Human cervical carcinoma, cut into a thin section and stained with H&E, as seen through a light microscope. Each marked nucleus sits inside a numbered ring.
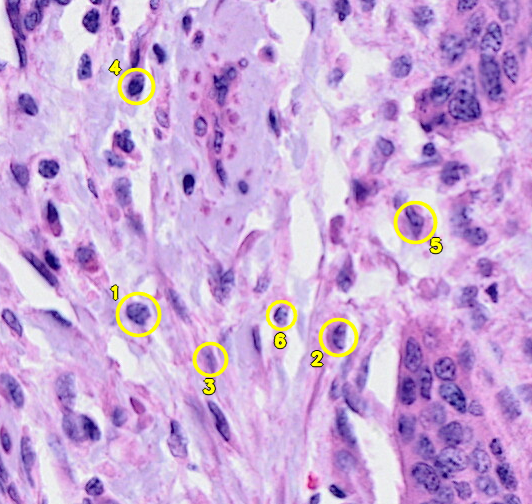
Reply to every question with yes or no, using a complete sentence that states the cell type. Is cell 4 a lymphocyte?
Yes, looking at number 4, that cell is a lymphocyte.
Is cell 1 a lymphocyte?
Yes, the cell marked by the number 1 is a lymphocyte.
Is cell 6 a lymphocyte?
Yes, the marked cell number 6 is a lymphocyte.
